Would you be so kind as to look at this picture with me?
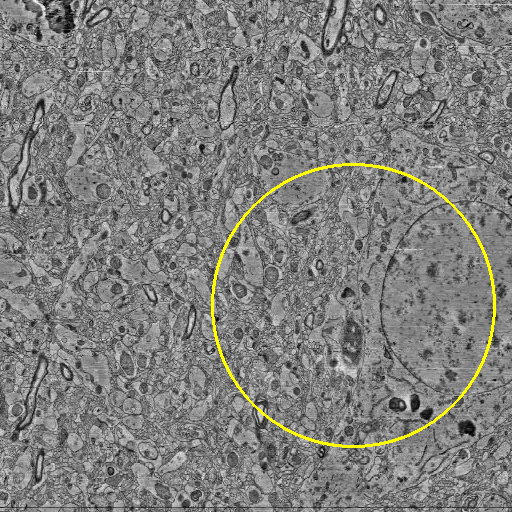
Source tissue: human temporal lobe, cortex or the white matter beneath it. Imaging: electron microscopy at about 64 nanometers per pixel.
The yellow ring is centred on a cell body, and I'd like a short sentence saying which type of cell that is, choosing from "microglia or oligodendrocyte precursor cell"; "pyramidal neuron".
The cell body in the ring belongs to a microglial cell or oligodendrocyte precursor cell.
